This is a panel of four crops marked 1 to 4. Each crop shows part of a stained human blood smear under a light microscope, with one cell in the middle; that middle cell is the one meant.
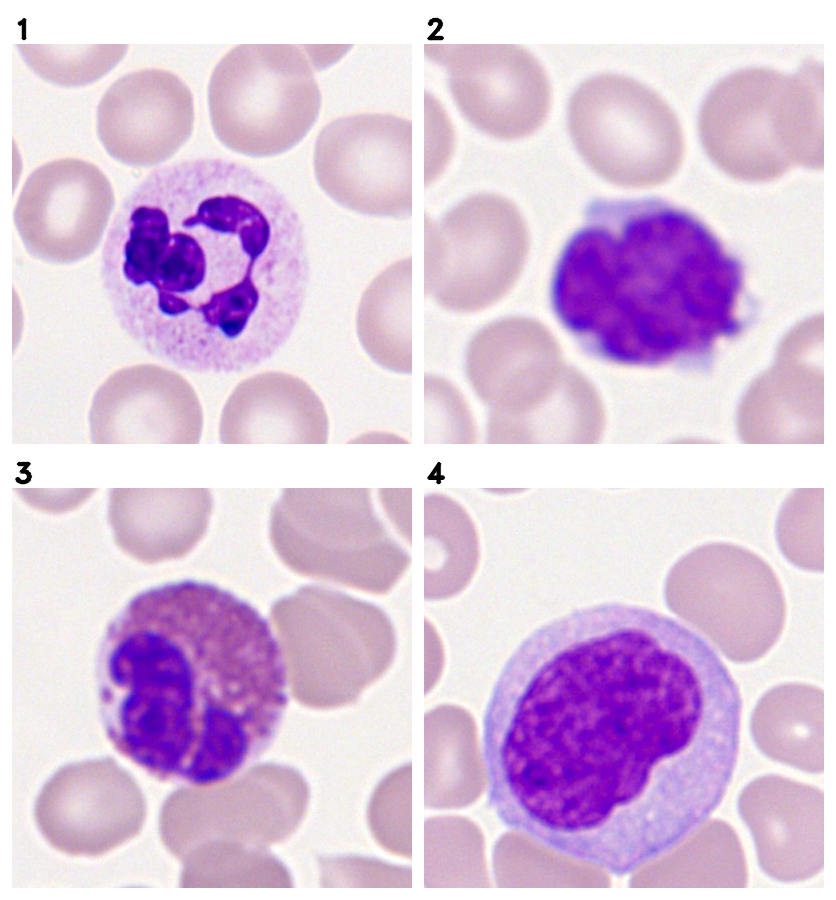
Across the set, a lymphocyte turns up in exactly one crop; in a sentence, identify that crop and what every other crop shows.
Placed in the middle of crop 2 is a lymphocyte, while crop 1 is a segmented neutrophil, crop 3 is an eosinophil and crop 4 is a monocyte.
